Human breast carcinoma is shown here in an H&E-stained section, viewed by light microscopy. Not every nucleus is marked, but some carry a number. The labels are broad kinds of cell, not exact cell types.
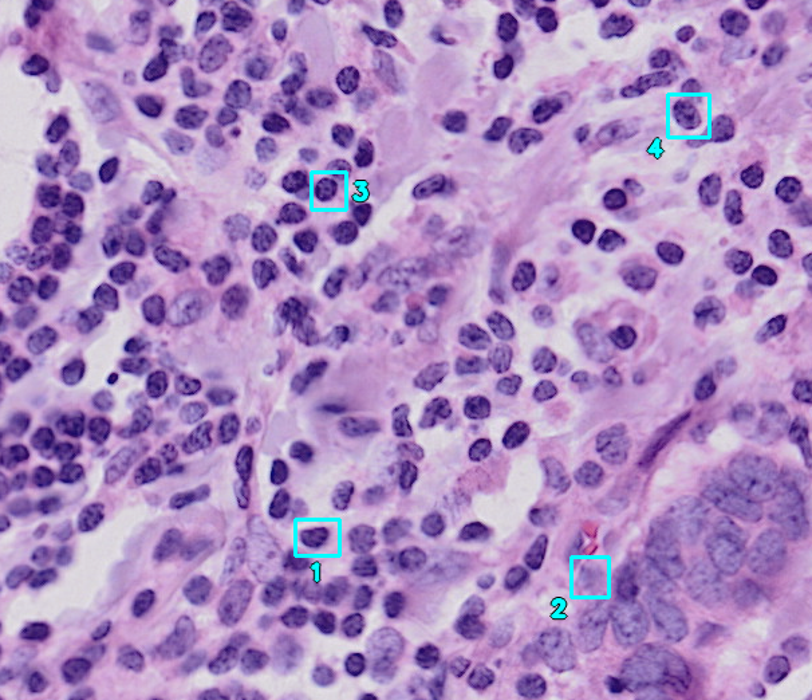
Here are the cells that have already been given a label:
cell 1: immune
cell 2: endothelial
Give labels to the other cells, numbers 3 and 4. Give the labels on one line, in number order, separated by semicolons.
immune; immune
